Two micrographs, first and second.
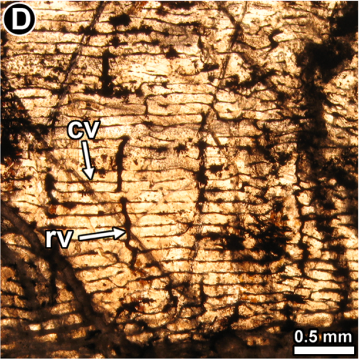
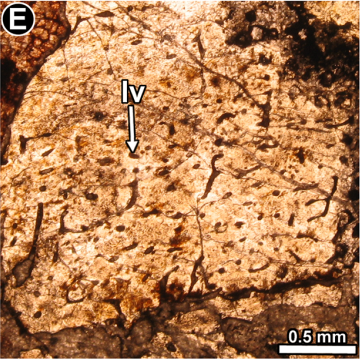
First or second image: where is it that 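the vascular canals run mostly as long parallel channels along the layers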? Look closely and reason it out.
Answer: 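Second image: canals appear mostly as small round or short openings scattered in the bone. First image: canals appear as many long thin parallel channels crossed by a few transverse ones. So: the first image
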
